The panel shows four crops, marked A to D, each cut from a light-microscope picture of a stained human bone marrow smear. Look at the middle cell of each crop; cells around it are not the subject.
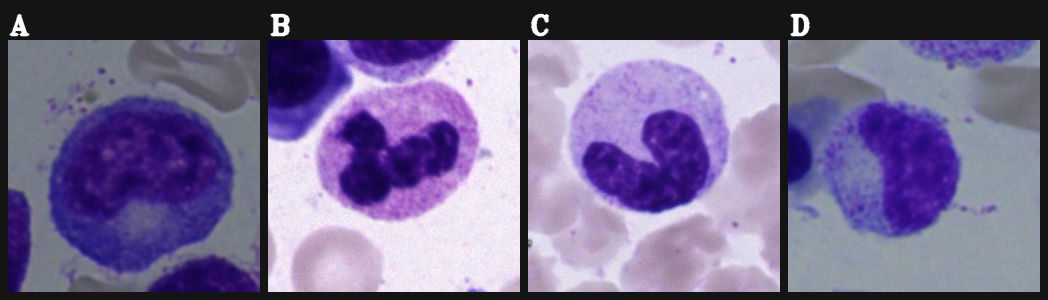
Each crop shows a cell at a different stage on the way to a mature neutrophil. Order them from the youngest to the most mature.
A, D, C, B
